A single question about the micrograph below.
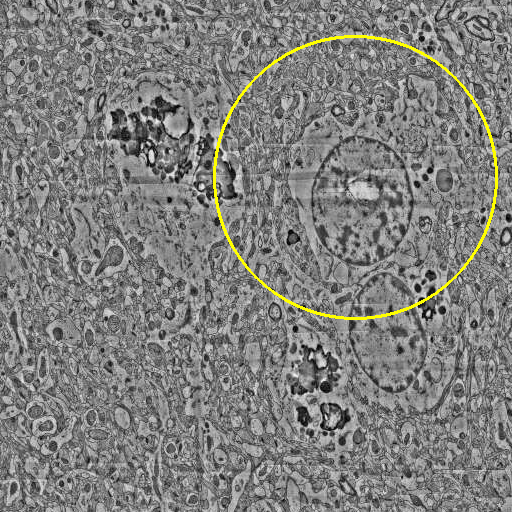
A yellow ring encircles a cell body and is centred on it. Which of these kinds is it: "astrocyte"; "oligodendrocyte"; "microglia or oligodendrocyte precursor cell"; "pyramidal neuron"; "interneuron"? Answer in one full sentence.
The cell body at the centre of the yellow ring belongs to an astrocyte.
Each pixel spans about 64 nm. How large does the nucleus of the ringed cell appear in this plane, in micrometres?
In this plane the nucleus spans approximately 8 by 6 micrometers.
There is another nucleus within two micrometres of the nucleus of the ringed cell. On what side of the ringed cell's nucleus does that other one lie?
The other nucleus can be seen below it.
